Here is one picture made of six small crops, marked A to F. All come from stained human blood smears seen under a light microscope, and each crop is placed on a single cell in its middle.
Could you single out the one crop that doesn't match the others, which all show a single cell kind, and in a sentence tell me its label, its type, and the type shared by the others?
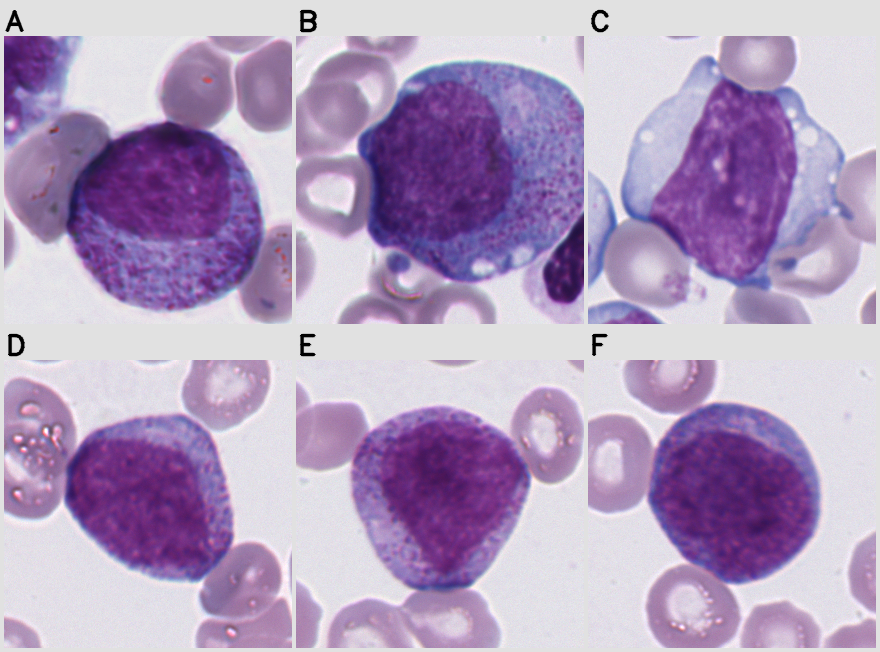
Crop C is different, showing a myeloblast, whereas all the others show promyelocytes.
